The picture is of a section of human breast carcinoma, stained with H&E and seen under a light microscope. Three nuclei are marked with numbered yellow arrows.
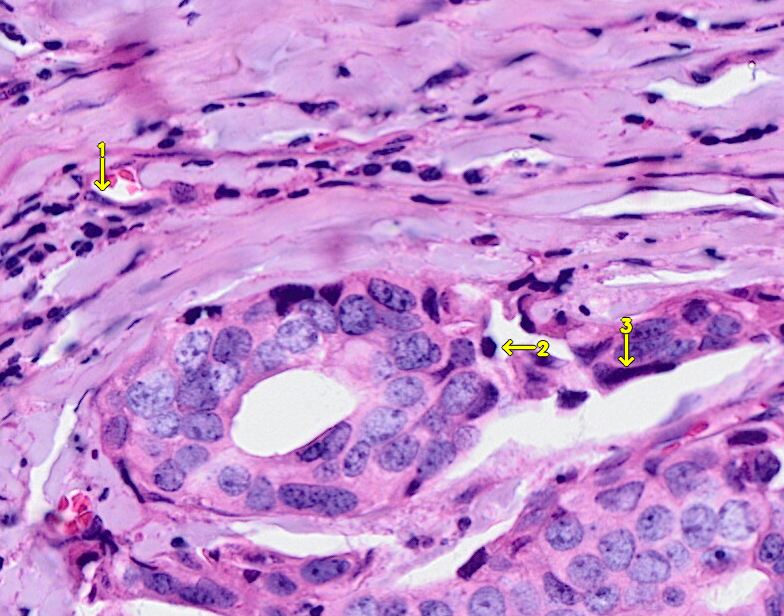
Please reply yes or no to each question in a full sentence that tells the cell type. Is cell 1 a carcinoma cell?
No, the cell bearing number 1 is not a carcinoma cell but an endothelial cell.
